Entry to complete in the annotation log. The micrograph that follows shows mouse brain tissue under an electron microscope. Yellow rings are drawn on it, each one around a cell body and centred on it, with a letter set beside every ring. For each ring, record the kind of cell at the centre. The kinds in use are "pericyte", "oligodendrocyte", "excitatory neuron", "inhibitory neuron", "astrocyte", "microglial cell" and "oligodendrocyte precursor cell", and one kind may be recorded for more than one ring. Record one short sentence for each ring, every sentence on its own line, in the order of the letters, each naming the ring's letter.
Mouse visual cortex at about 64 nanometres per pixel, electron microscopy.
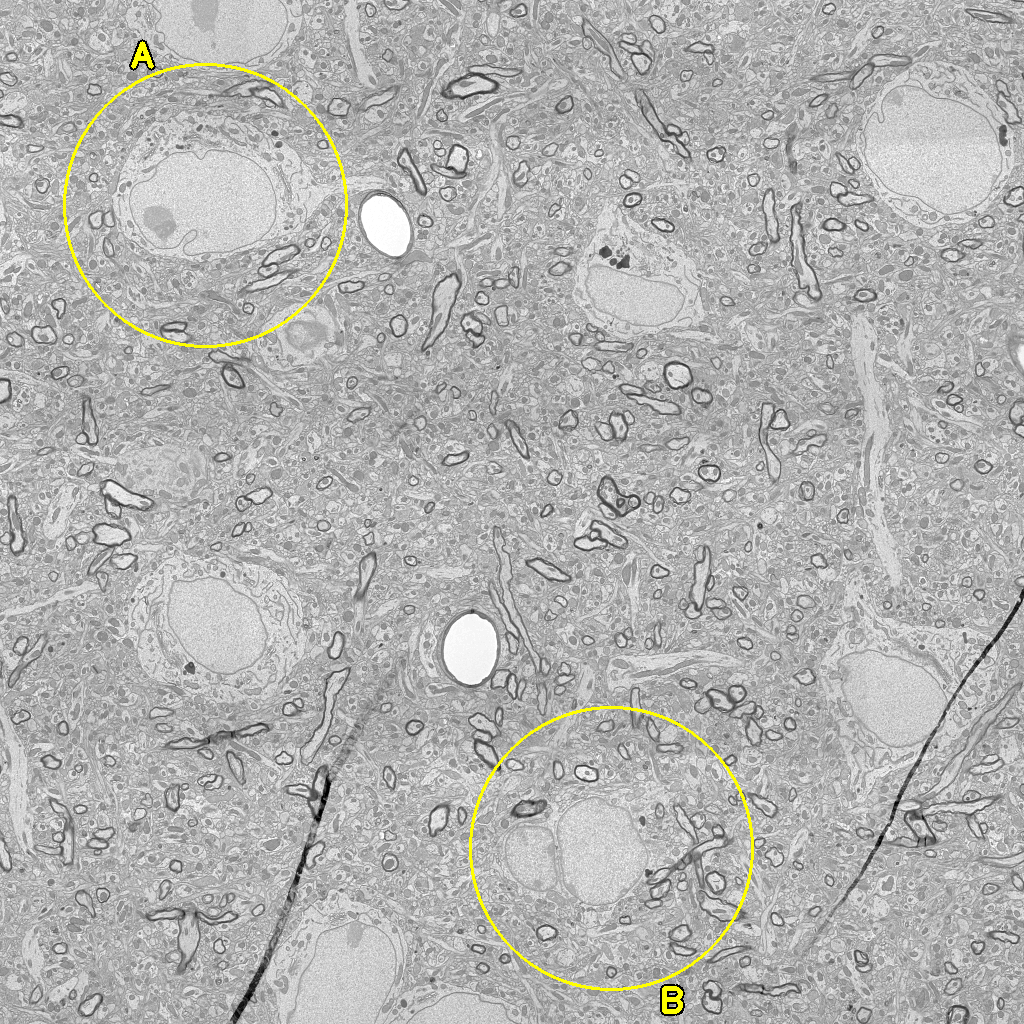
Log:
Ring A is placed around an excitatory neuron.
Ring B is placed around an astrocyte.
